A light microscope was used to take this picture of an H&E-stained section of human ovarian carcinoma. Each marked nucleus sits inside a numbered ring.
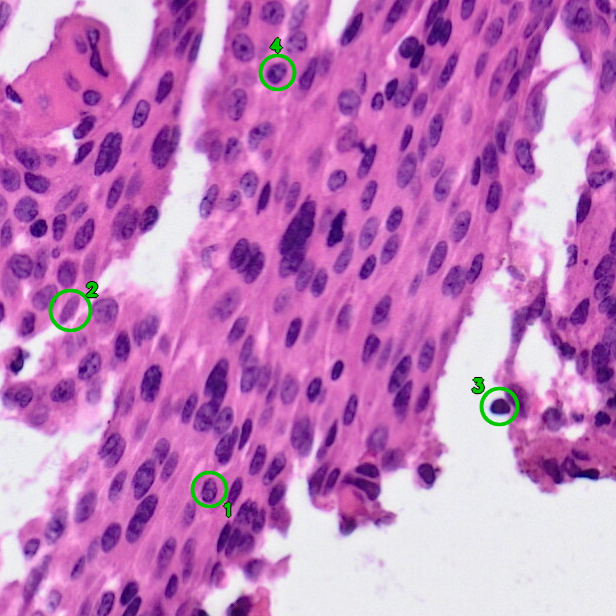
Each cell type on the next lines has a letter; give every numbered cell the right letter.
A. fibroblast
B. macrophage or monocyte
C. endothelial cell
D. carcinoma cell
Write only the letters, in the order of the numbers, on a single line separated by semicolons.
B; D; D; B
